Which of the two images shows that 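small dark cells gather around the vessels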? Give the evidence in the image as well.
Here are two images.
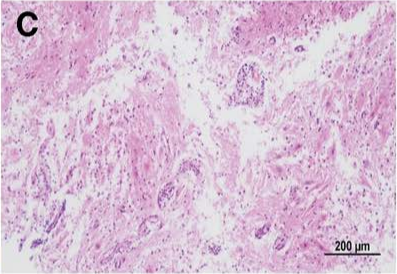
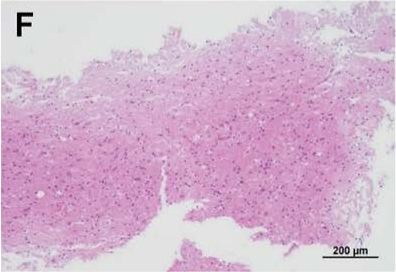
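Second image: compact pink tissue with evenly spread nuclei and no vessel clusters. First image: loose, torn tissue with several vessel profiles ringed by dark nuclei.
Answer: the first image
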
